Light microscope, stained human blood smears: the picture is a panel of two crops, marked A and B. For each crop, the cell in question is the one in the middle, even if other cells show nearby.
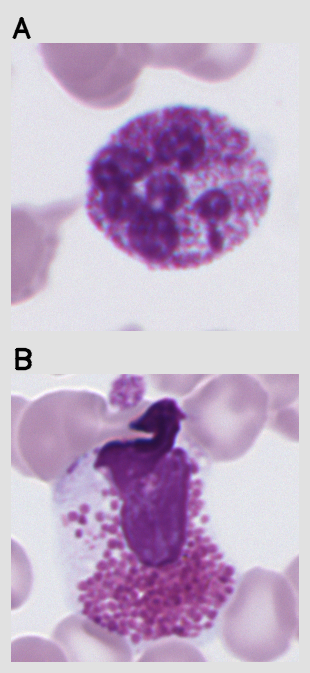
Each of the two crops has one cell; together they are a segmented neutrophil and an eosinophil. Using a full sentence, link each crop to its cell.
What crop A shows is a segmented neutrophil, and what crop B shows is an eosinophil.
